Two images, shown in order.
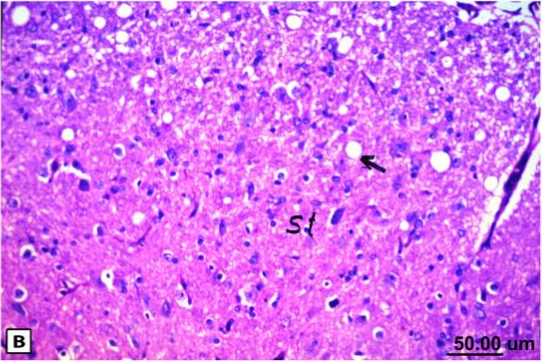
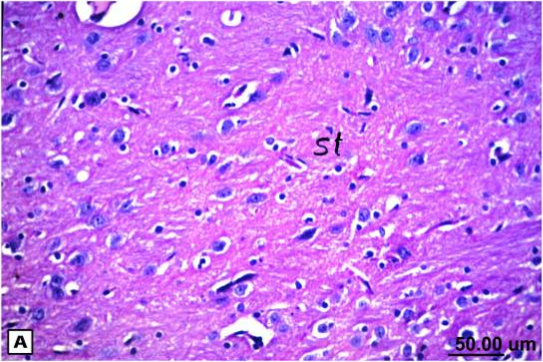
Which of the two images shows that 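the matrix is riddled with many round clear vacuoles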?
The first image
